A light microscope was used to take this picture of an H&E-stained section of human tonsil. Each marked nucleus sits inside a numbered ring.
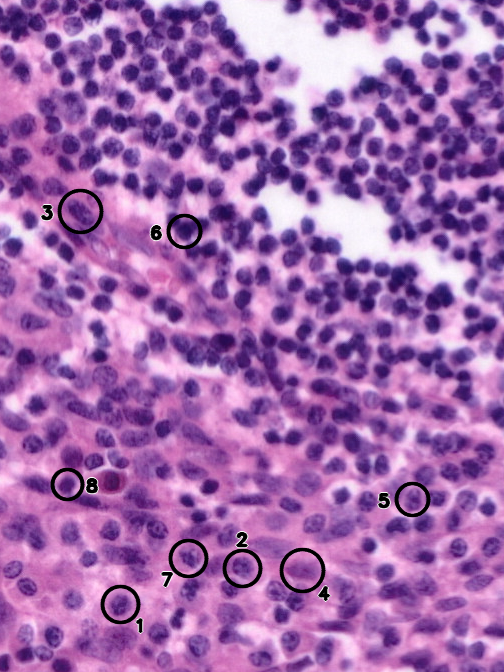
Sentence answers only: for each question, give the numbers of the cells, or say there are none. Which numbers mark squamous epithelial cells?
The cells marked 4 and 8 in the section are squamous epithelial cells.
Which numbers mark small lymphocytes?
Of all the numbered cells, only one is a small lymphocyte, and that is cell 6.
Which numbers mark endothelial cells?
Of all the numbered cells, only one is an endothelial cell, and that is cell 3.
